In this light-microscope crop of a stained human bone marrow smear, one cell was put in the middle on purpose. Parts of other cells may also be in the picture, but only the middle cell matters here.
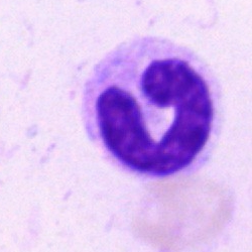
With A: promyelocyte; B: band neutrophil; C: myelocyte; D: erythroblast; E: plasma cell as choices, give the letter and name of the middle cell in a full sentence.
For this crop, option B is right, the centered cell being a band neutrophil.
